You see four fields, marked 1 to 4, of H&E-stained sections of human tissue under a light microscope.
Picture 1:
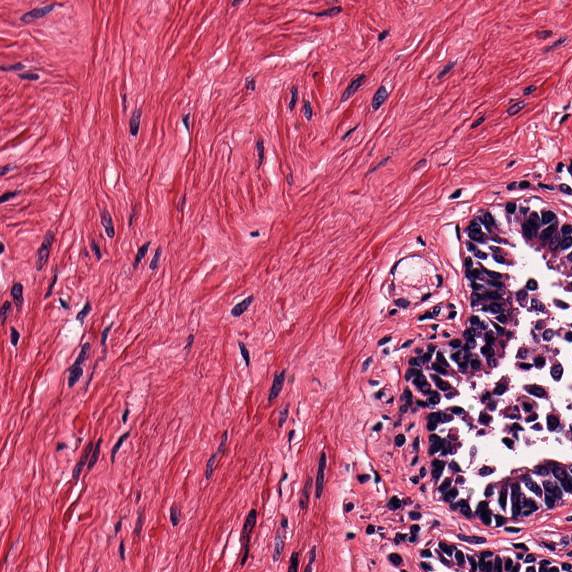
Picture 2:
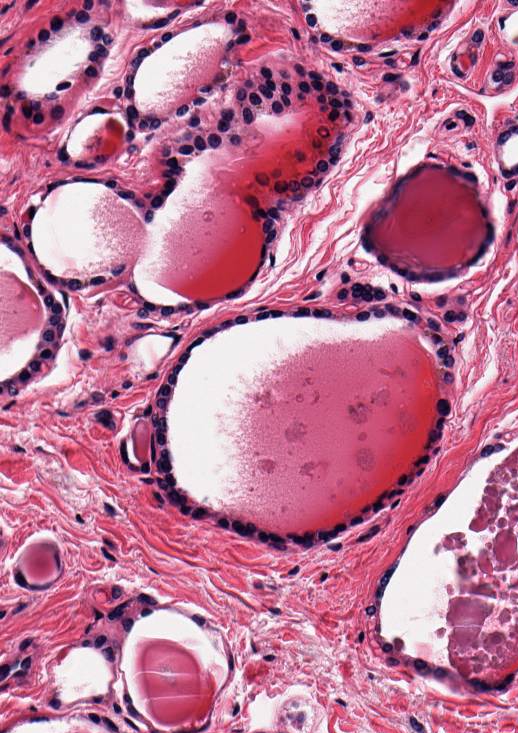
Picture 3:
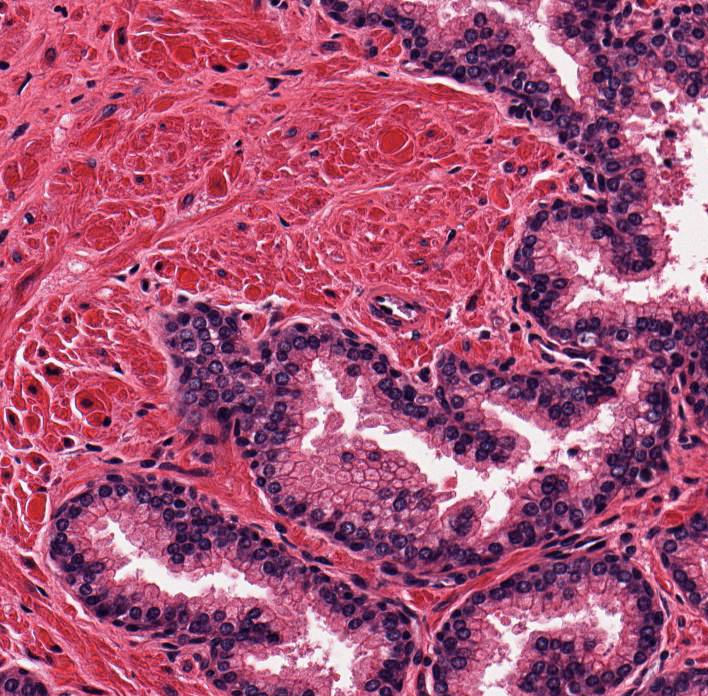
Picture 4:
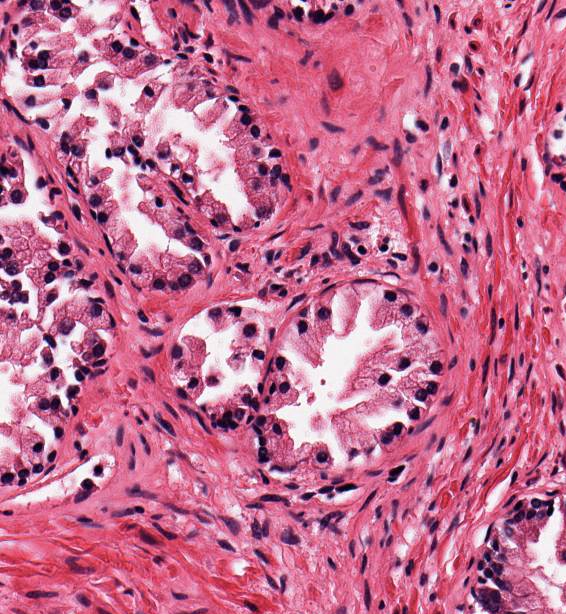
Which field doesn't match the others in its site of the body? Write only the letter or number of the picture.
2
